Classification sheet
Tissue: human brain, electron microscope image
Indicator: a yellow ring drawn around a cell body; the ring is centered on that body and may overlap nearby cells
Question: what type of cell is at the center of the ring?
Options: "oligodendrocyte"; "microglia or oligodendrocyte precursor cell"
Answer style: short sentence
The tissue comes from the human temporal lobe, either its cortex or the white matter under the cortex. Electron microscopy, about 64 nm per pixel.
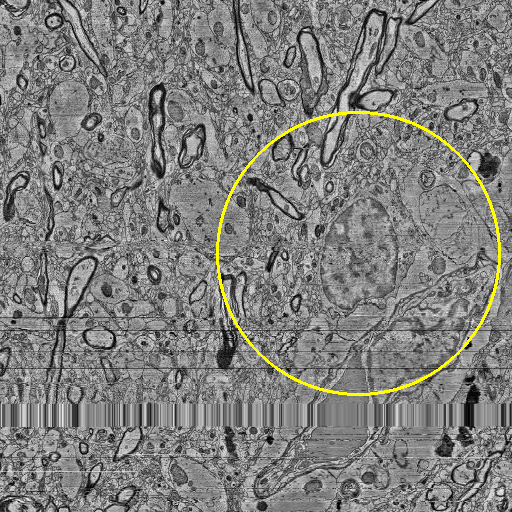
At the ring's center is an oligodendrocyte.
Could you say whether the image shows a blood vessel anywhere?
Yes, a blood vessel is present in this picture.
